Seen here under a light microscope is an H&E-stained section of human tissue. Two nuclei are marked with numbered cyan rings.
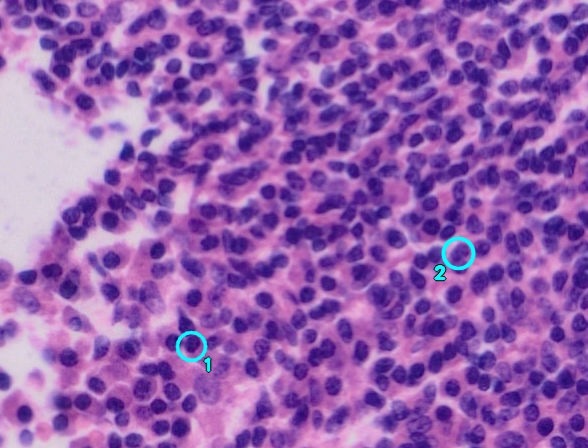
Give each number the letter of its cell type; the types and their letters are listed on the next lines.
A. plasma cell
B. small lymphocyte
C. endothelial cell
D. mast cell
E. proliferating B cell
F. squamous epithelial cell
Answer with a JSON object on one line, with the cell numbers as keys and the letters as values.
{"1": "A", "2": "B"}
